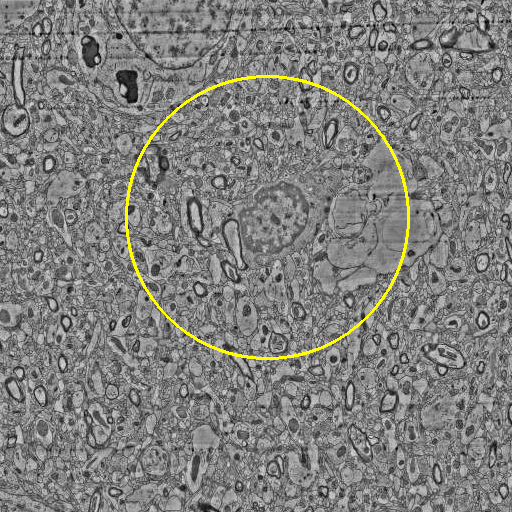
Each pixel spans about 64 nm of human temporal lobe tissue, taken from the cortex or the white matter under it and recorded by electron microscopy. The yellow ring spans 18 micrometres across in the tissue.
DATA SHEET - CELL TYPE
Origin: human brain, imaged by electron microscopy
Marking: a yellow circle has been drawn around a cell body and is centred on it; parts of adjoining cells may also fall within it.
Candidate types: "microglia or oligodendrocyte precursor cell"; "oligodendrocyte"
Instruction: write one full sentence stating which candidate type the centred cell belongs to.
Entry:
The cell body at the centre of the yellow ring in this micrograph belongs to an oligodendrocyte.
